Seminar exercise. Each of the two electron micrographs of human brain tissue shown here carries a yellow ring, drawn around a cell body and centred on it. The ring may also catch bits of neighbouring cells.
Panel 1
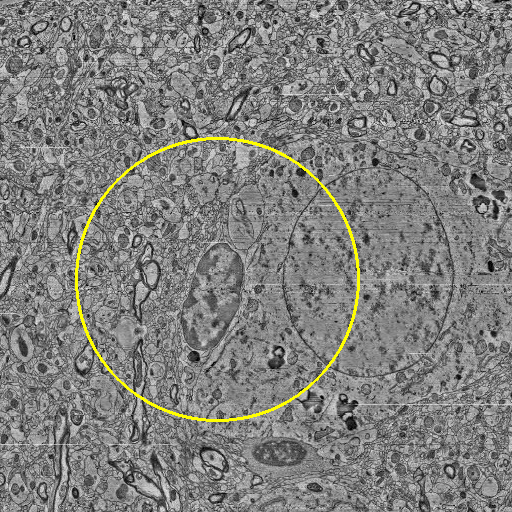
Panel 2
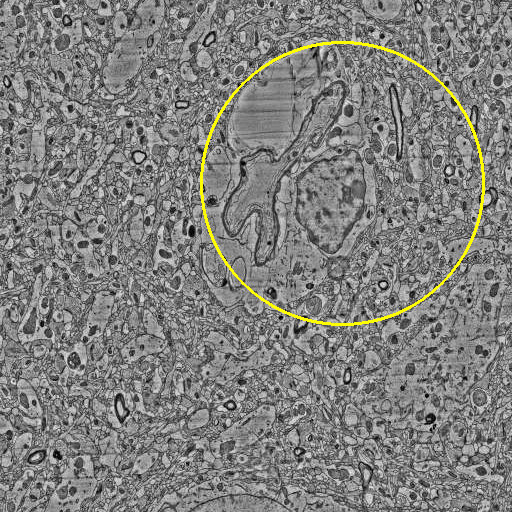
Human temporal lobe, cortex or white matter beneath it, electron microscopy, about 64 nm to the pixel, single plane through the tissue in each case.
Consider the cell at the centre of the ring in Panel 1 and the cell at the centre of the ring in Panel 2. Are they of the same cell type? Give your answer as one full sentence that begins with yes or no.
Yes, both cells are of the same type.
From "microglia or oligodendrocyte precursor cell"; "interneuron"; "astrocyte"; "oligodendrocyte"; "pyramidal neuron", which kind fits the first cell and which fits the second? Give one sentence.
Both rings mark a microglial cell or oligodendrocyte precursor cell, one in each picture.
